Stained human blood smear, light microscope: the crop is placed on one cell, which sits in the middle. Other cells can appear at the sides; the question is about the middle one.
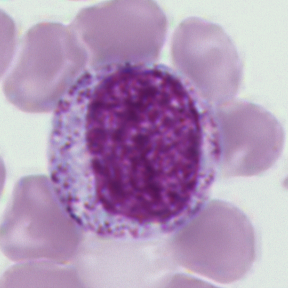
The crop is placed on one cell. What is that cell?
myelocyte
